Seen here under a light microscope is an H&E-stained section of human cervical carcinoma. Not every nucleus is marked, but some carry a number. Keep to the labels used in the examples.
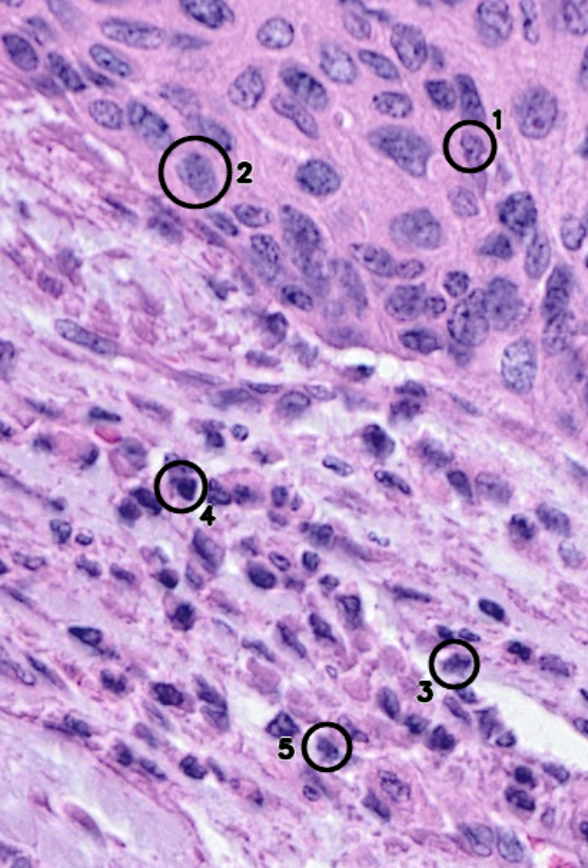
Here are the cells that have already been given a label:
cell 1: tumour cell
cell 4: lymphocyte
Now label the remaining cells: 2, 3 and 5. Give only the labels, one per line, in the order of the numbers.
tumour cell
lymphocyte
lymphocyte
